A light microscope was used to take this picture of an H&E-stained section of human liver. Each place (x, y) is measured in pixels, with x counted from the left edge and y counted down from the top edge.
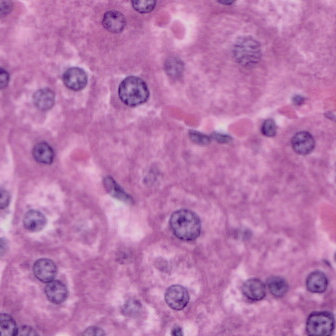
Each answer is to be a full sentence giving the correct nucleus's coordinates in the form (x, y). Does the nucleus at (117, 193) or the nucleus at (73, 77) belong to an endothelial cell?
Answering which nucleus it is: the one at (117, 193), belonging to an endothelial cell.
